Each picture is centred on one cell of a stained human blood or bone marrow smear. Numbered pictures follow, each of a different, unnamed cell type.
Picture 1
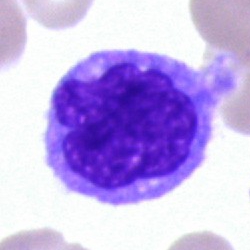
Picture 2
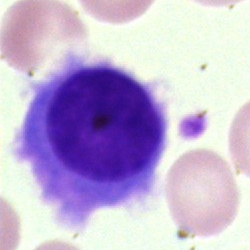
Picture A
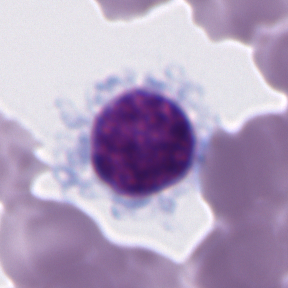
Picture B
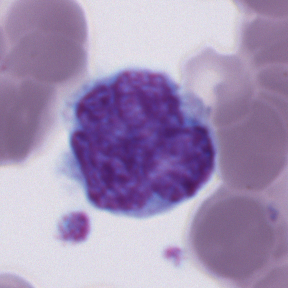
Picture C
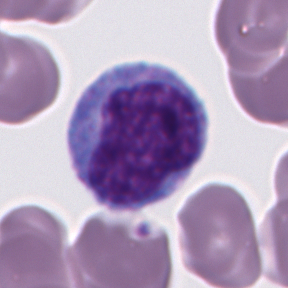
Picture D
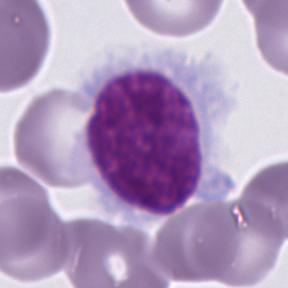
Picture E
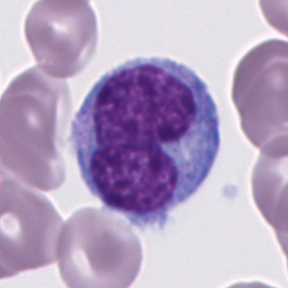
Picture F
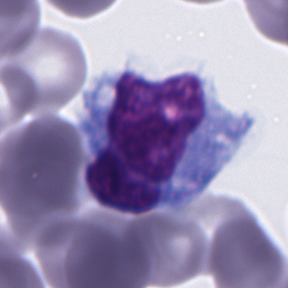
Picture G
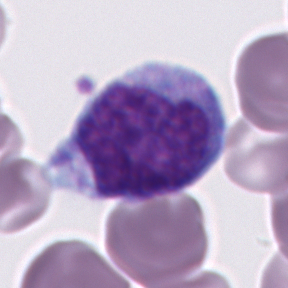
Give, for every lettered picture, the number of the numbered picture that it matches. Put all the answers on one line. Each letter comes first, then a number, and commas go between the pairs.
A 2, B 1, C 1, D 2, E 1, F 1, G 1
